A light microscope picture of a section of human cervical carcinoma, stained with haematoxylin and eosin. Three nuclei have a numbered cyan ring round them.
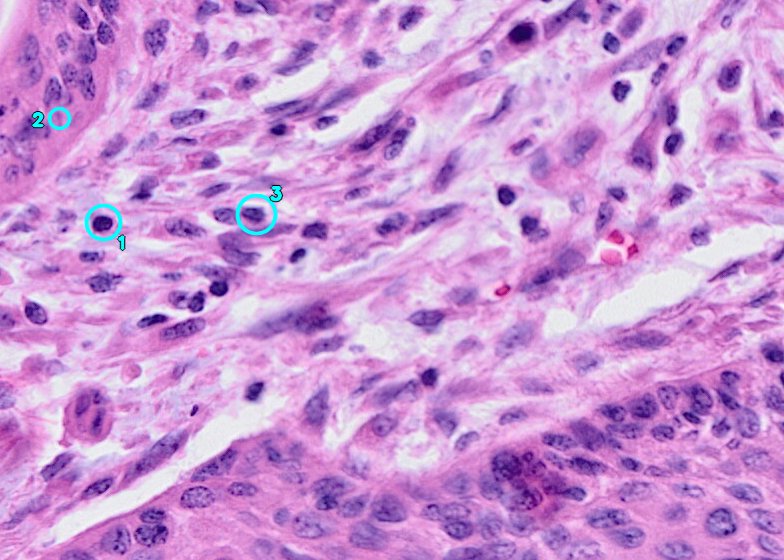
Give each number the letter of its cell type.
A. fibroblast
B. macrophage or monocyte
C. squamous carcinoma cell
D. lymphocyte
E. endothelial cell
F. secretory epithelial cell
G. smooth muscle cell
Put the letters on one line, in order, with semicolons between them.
D; C; D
